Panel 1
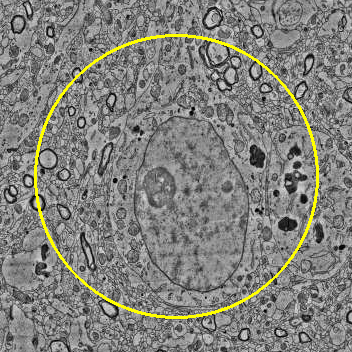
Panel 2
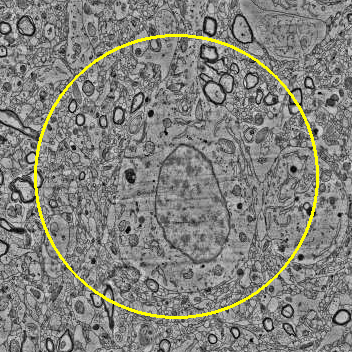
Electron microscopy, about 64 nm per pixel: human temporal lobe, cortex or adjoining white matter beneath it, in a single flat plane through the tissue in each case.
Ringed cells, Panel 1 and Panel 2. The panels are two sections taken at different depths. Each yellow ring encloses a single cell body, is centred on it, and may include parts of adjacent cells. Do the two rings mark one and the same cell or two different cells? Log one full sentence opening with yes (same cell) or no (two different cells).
Yes, the same individual cell is enclosed by both rings.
